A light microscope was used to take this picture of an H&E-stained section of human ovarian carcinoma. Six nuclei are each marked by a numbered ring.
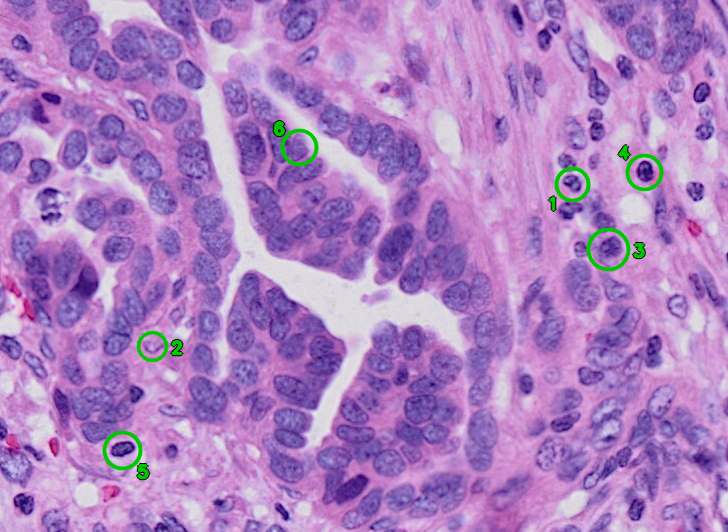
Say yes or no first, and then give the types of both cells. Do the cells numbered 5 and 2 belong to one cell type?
No, with respect, cell 5 is a lymphocyte and cell 2 is a fibroblast.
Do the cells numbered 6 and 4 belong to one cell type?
No, cell 6 is a carcinoma cell, and cell 4, for its part, is a lymphocyte.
